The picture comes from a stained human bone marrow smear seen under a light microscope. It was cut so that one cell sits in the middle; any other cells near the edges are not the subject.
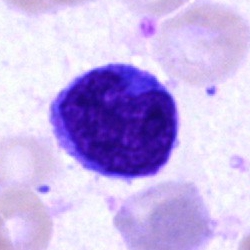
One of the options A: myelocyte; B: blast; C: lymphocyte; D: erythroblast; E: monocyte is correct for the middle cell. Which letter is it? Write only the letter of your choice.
B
